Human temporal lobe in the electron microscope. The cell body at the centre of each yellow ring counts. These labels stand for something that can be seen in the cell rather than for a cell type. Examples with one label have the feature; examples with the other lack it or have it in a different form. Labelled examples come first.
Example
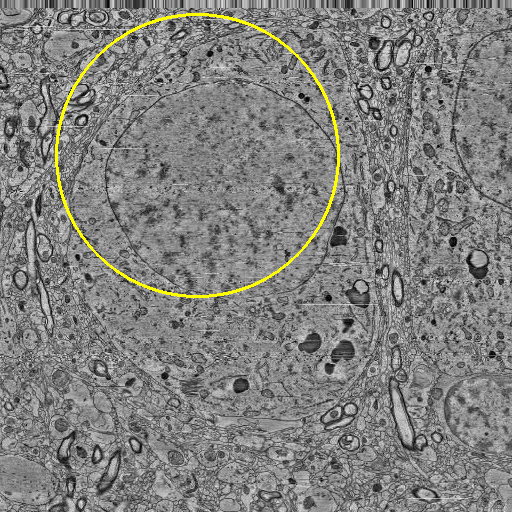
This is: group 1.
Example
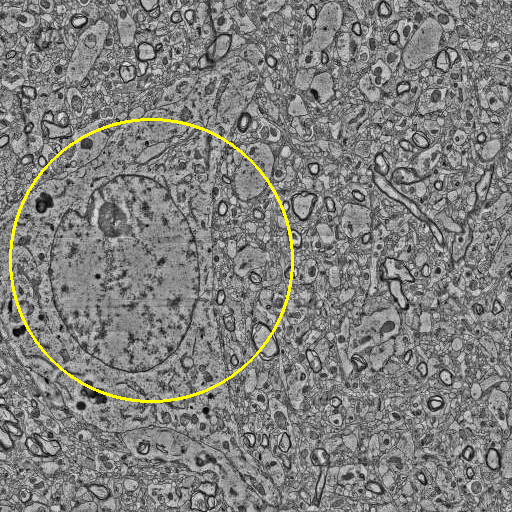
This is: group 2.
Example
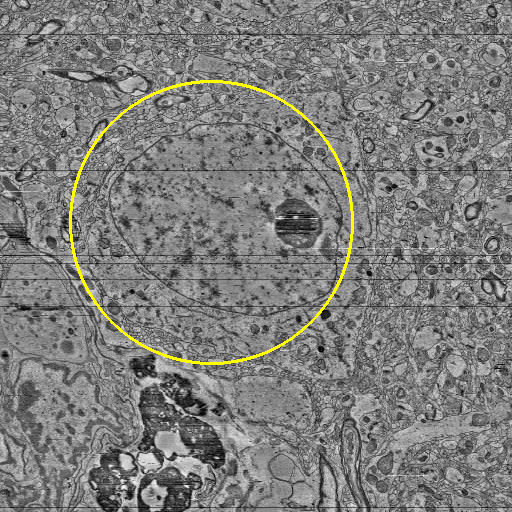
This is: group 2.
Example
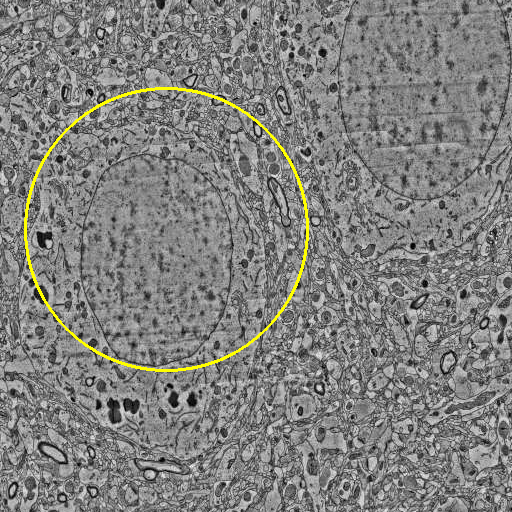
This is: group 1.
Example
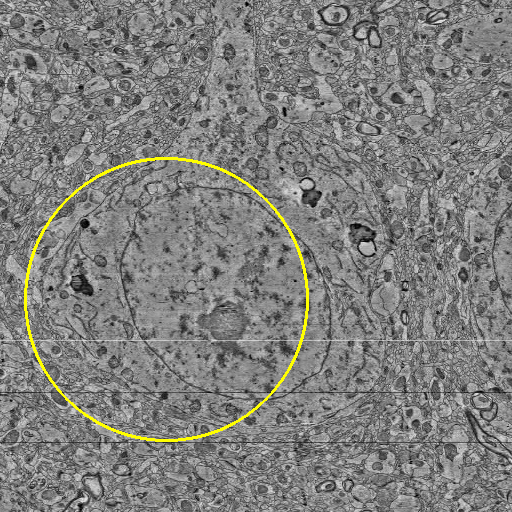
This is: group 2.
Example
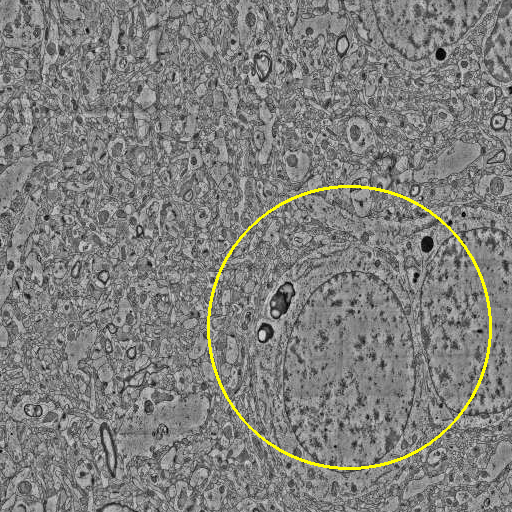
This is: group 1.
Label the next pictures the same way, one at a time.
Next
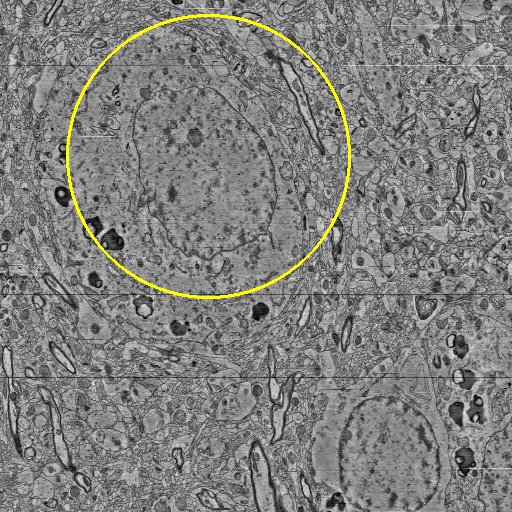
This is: group 2.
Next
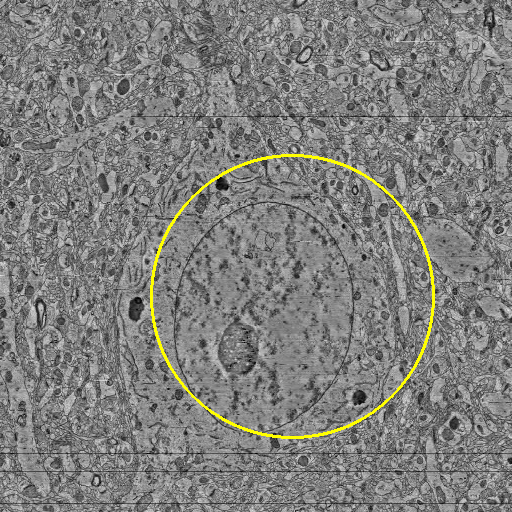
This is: group 2.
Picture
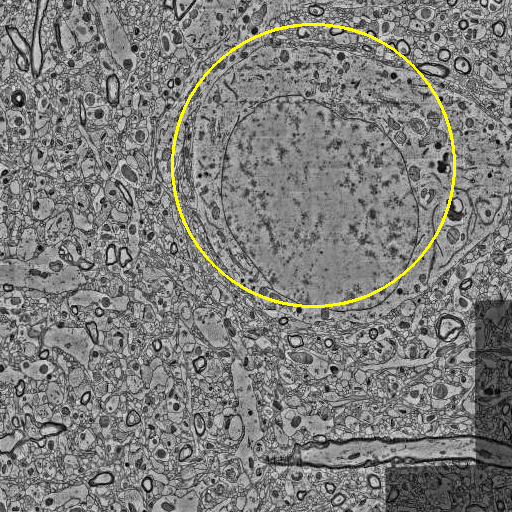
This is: group 1.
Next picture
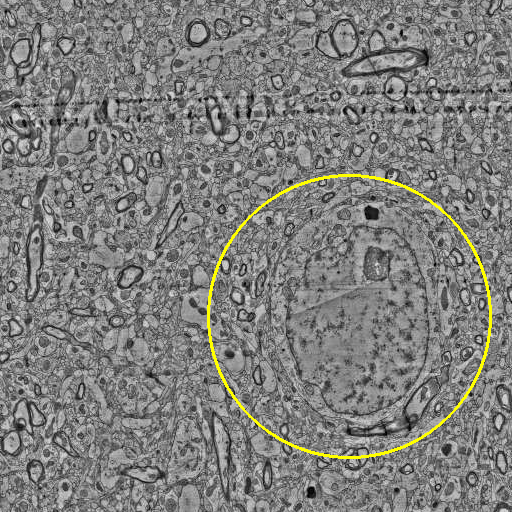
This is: group 2.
